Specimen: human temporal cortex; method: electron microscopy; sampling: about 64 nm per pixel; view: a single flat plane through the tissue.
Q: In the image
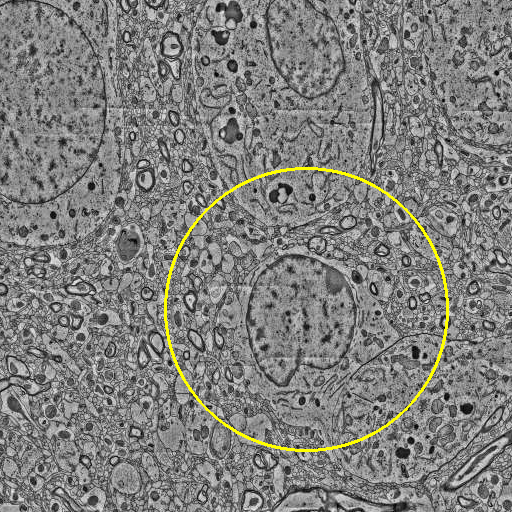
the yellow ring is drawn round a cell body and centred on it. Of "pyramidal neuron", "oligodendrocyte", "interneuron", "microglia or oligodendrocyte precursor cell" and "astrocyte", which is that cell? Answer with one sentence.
The cell centred in the ring is a microglial cell or oligodendrocyte precursor cell.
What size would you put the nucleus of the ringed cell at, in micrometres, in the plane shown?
The nucleus works out at approximately 8 by 7 micrometres in this plane.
